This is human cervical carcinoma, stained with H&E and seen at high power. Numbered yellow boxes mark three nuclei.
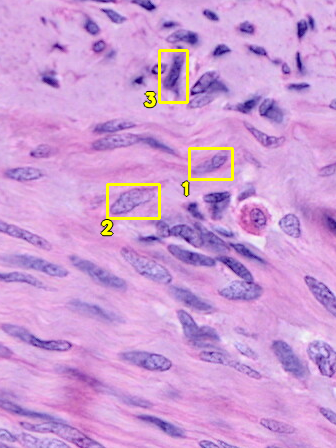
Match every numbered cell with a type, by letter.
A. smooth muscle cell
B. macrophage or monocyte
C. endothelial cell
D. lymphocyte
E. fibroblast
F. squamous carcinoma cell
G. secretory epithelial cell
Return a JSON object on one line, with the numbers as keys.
{"1": "A", "2": "A", "3": "E"}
